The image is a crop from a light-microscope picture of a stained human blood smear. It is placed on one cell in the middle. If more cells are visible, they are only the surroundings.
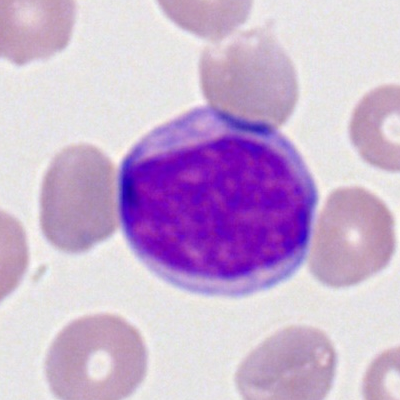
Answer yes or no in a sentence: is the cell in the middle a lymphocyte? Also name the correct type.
No, the cell at the center of this crop is a myeloblast instead of a lymphocyte.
